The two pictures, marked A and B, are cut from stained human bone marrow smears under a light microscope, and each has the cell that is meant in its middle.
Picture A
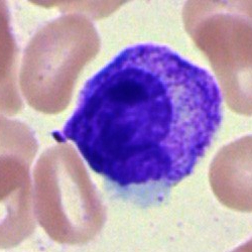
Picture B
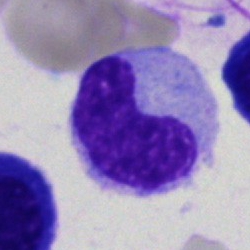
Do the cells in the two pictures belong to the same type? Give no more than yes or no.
yes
